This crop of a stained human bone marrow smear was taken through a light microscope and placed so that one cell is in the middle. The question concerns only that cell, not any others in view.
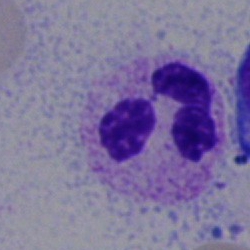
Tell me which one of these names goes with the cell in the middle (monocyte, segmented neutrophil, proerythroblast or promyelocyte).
segmented neutrophil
